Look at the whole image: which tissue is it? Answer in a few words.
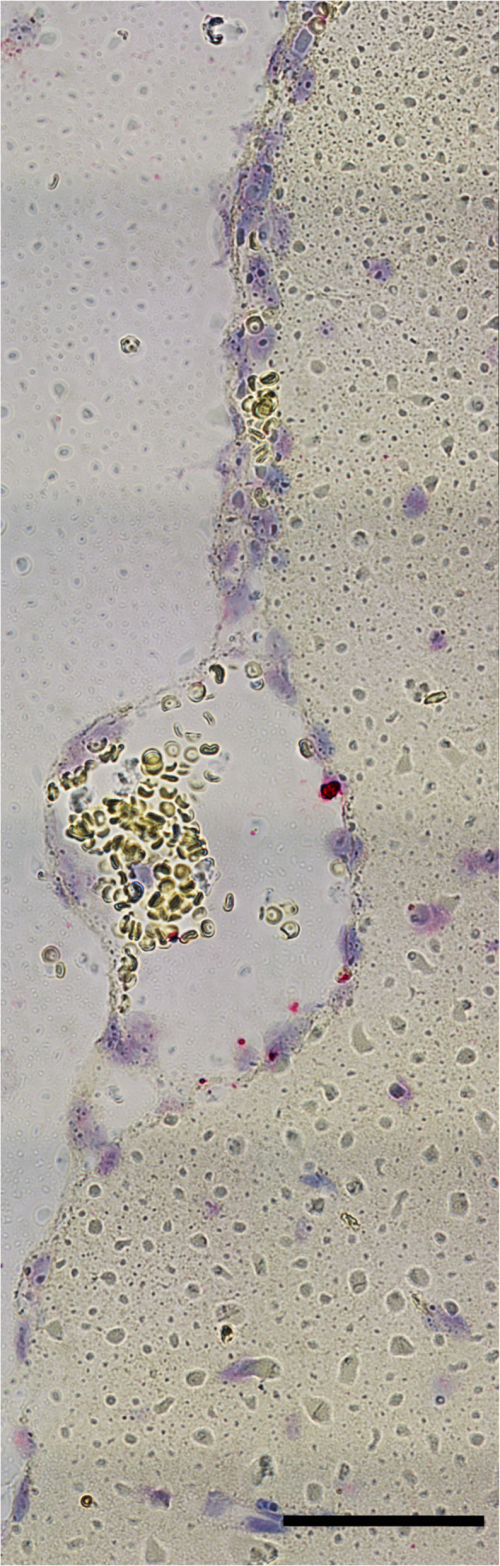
Leptomeninges.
